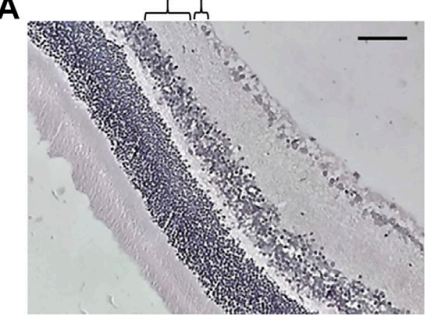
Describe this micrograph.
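This is a cross-section of retina stained with haematoxylin and eosin, showing its layered architecture. At one side a pale pink, finely striated band lies outermost. Beside it runs the thickest layer, a broad band of small, round, darkly purple nuclei packed closely together. A thin pale band separates this from a narrower band of purple nuclei. Next comes a wide, pale pink, finely textured band with few nuclei. At the inner edge lies a loose row of larger, paler cells with rounded nuclei, some spaced apart, forming the innermost cellular layer beneath the clear vitreous space.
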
